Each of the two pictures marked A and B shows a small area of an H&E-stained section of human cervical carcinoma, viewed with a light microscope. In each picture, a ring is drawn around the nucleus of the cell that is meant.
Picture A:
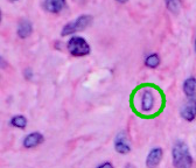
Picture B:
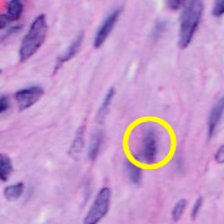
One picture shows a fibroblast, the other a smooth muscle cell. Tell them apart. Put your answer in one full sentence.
Picture B shows a fibroblast, while picture A shows a smooth muscle cell.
